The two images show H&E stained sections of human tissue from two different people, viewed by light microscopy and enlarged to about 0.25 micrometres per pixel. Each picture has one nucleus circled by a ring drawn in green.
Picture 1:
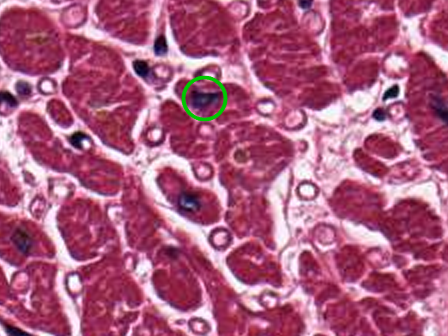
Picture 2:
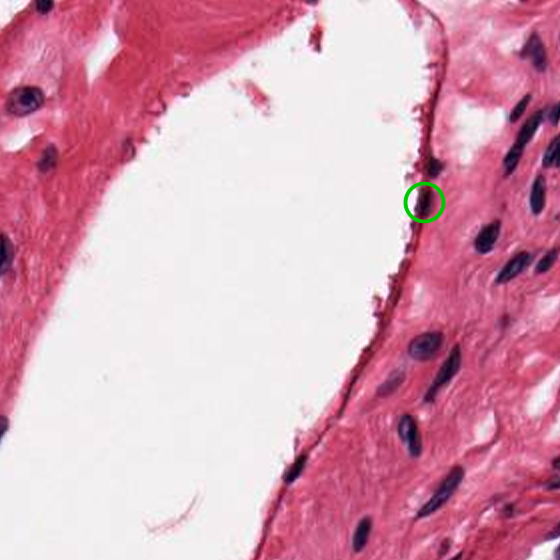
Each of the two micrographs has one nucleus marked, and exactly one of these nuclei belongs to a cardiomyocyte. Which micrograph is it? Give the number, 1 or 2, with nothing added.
1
